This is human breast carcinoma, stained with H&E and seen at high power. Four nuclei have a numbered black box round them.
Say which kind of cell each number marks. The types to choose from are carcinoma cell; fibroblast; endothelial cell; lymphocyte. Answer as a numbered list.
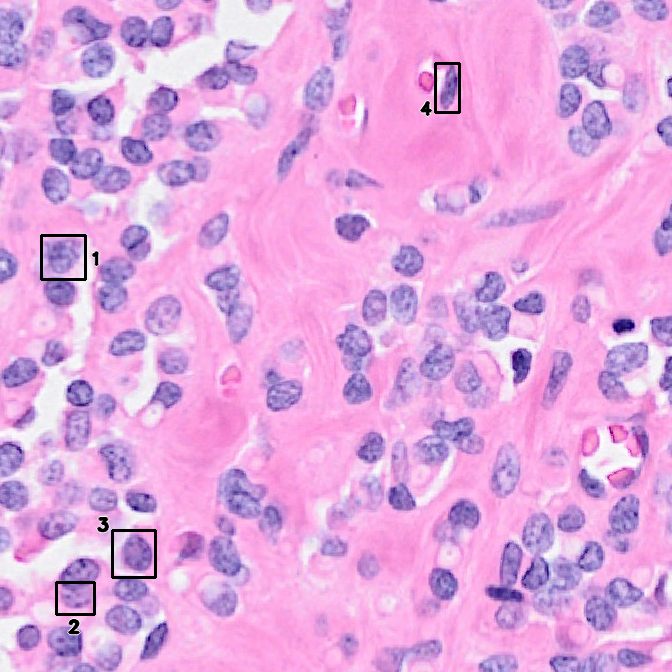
1. carcinoma cell
2. carcinoma cell
3. carcinoma cell
4. endothelial cell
